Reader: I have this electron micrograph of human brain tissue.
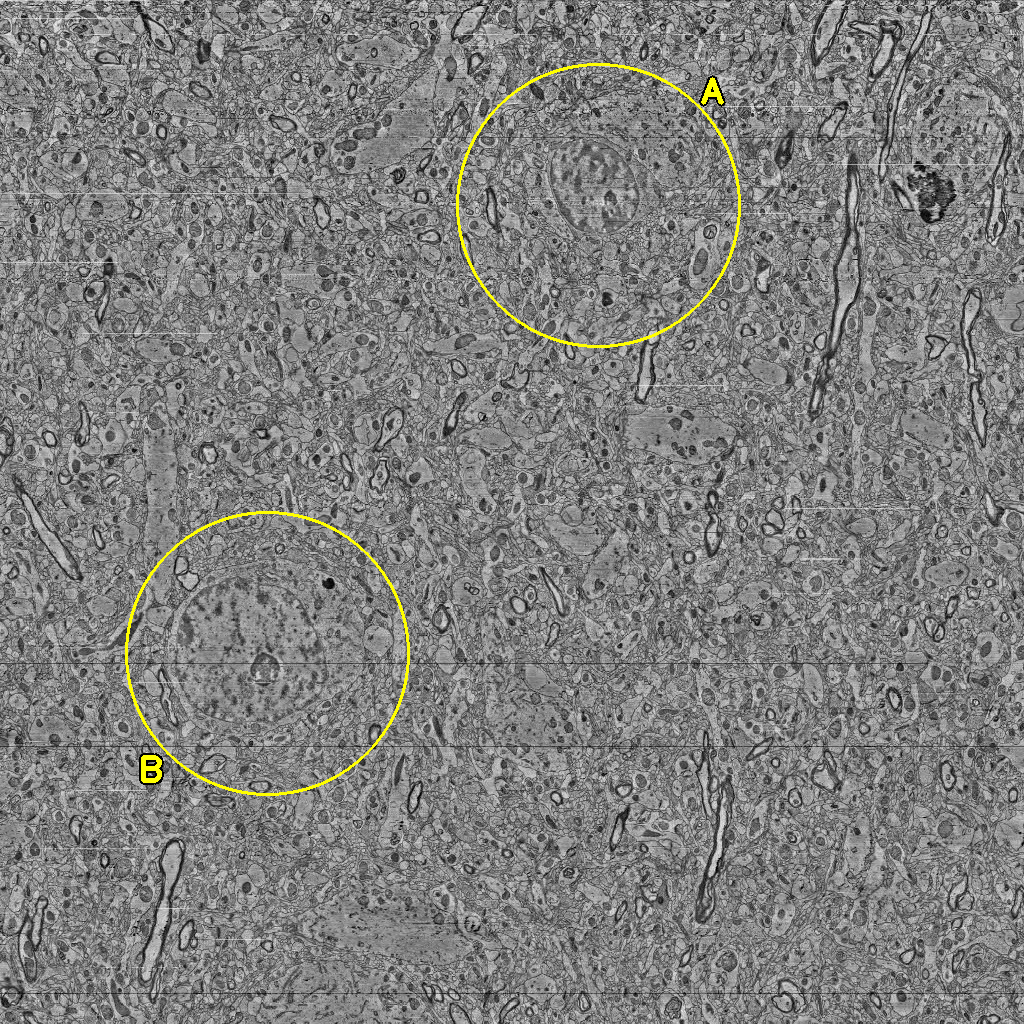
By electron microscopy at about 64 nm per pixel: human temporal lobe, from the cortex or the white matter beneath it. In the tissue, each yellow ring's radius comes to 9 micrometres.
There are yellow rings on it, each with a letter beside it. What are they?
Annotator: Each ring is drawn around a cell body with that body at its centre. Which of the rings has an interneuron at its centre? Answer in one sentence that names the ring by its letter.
That cell sits at the centre of ring B.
